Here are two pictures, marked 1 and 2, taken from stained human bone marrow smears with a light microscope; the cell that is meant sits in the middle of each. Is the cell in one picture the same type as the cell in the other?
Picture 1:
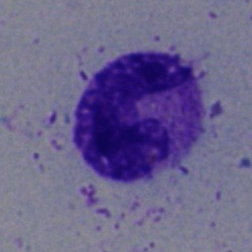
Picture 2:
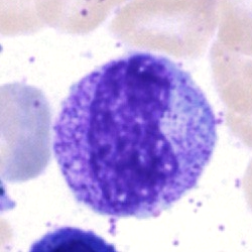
no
